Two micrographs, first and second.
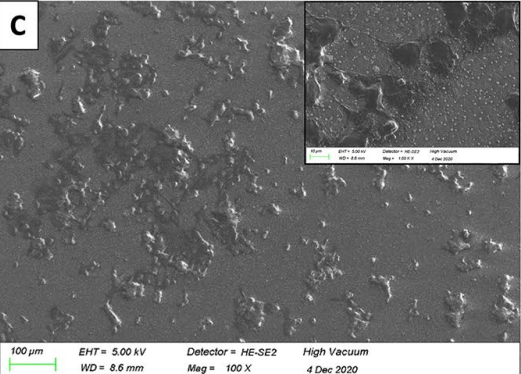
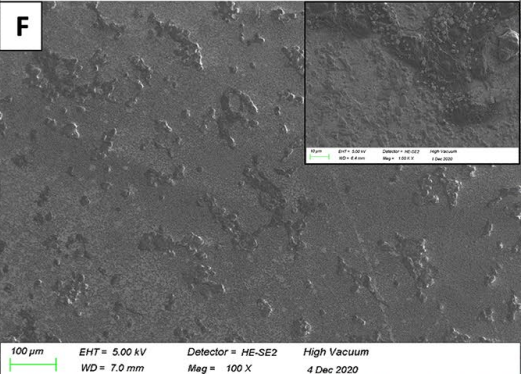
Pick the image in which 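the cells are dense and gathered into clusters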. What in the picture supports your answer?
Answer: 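The first image. Second image: cells lie sparse and thin over a mostly bare surface. First image: many bright cells crowd together in large clusters.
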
